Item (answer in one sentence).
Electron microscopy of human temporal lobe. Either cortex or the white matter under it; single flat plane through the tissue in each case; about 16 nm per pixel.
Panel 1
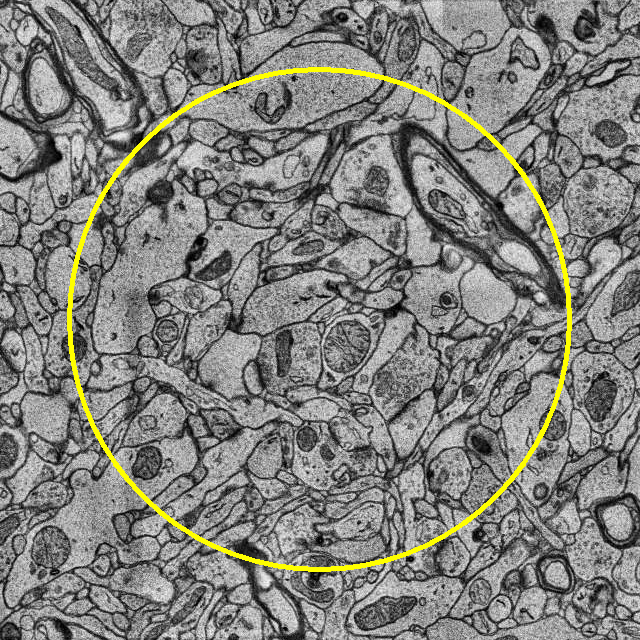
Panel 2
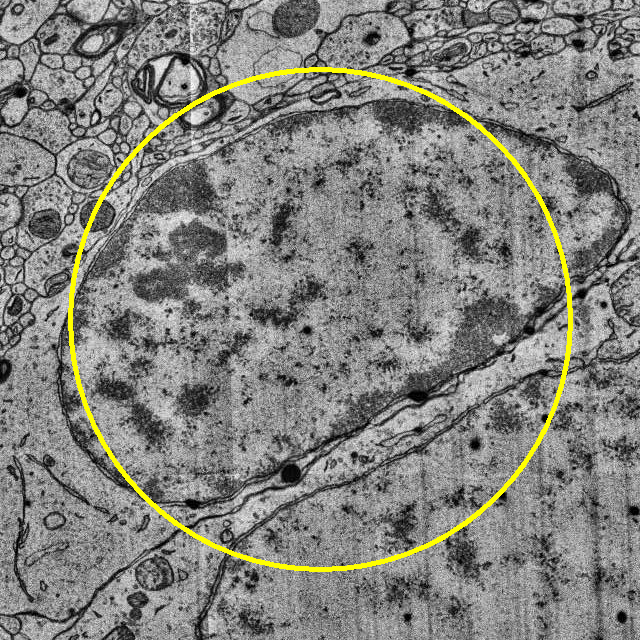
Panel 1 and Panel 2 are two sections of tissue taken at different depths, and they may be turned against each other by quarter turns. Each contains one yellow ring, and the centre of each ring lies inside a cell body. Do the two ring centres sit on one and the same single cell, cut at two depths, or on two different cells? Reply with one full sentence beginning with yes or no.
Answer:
No, the yellow rings are placed on two separate cells.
